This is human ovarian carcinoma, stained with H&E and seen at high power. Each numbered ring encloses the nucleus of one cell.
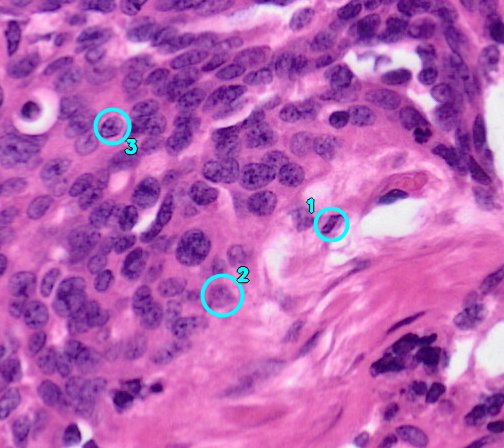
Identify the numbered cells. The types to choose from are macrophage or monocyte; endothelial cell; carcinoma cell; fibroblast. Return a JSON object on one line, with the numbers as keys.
{"1": "fibroblast", "2": "carcinoma cell", "3": "macrophage or monocyte"}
